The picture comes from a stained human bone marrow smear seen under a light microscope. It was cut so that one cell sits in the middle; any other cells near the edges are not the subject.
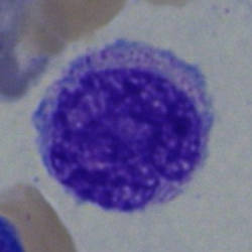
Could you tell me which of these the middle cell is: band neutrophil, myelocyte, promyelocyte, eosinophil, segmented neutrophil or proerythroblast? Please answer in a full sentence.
Where the crop is centred, there is a myelocyte.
